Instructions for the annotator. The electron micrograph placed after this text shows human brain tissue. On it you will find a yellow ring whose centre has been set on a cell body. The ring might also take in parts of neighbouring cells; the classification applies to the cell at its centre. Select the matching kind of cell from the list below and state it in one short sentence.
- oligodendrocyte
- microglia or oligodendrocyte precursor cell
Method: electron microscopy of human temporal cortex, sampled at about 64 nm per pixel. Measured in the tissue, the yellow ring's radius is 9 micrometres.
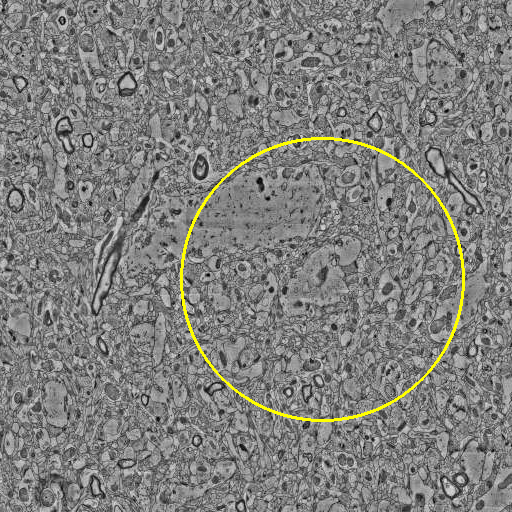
The ring is drawn on the cell body of a microglial cell or oligodendrocyte precursor cell.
